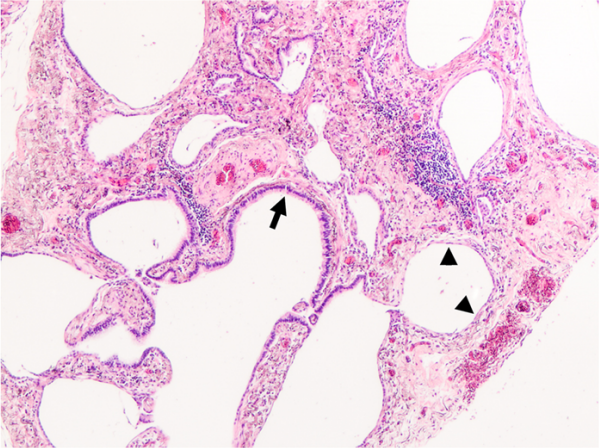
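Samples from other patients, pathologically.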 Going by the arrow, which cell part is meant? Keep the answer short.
Bronchiolar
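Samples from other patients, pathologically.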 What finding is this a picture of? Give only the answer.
Enlarged airspaces surrounded by fibrosis.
